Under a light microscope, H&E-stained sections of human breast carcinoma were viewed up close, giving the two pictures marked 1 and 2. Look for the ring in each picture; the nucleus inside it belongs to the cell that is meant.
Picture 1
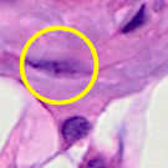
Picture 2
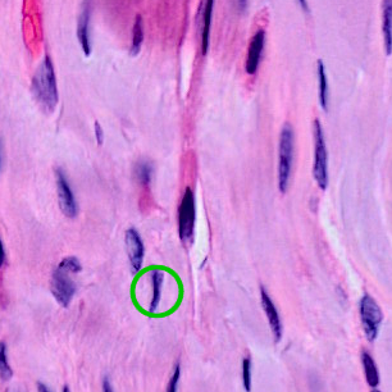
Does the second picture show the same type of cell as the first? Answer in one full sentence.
Yes; the cells in both pictures are fibroblasts.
